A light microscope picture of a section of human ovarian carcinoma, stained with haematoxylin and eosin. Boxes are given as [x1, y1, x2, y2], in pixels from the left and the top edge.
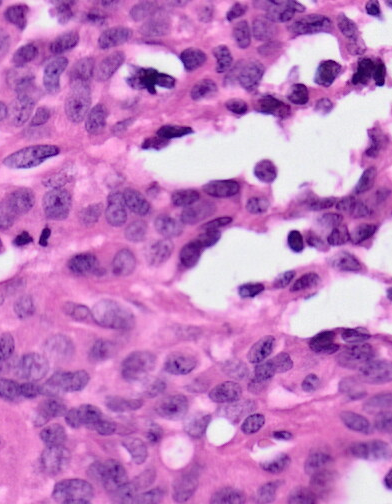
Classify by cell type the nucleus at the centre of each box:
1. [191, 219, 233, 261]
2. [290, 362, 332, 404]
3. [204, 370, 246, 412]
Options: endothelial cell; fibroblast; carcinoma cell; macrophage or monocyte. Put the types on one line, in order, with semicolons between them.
carcinoma cell; macrophage or monocyte; carcinoma cell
